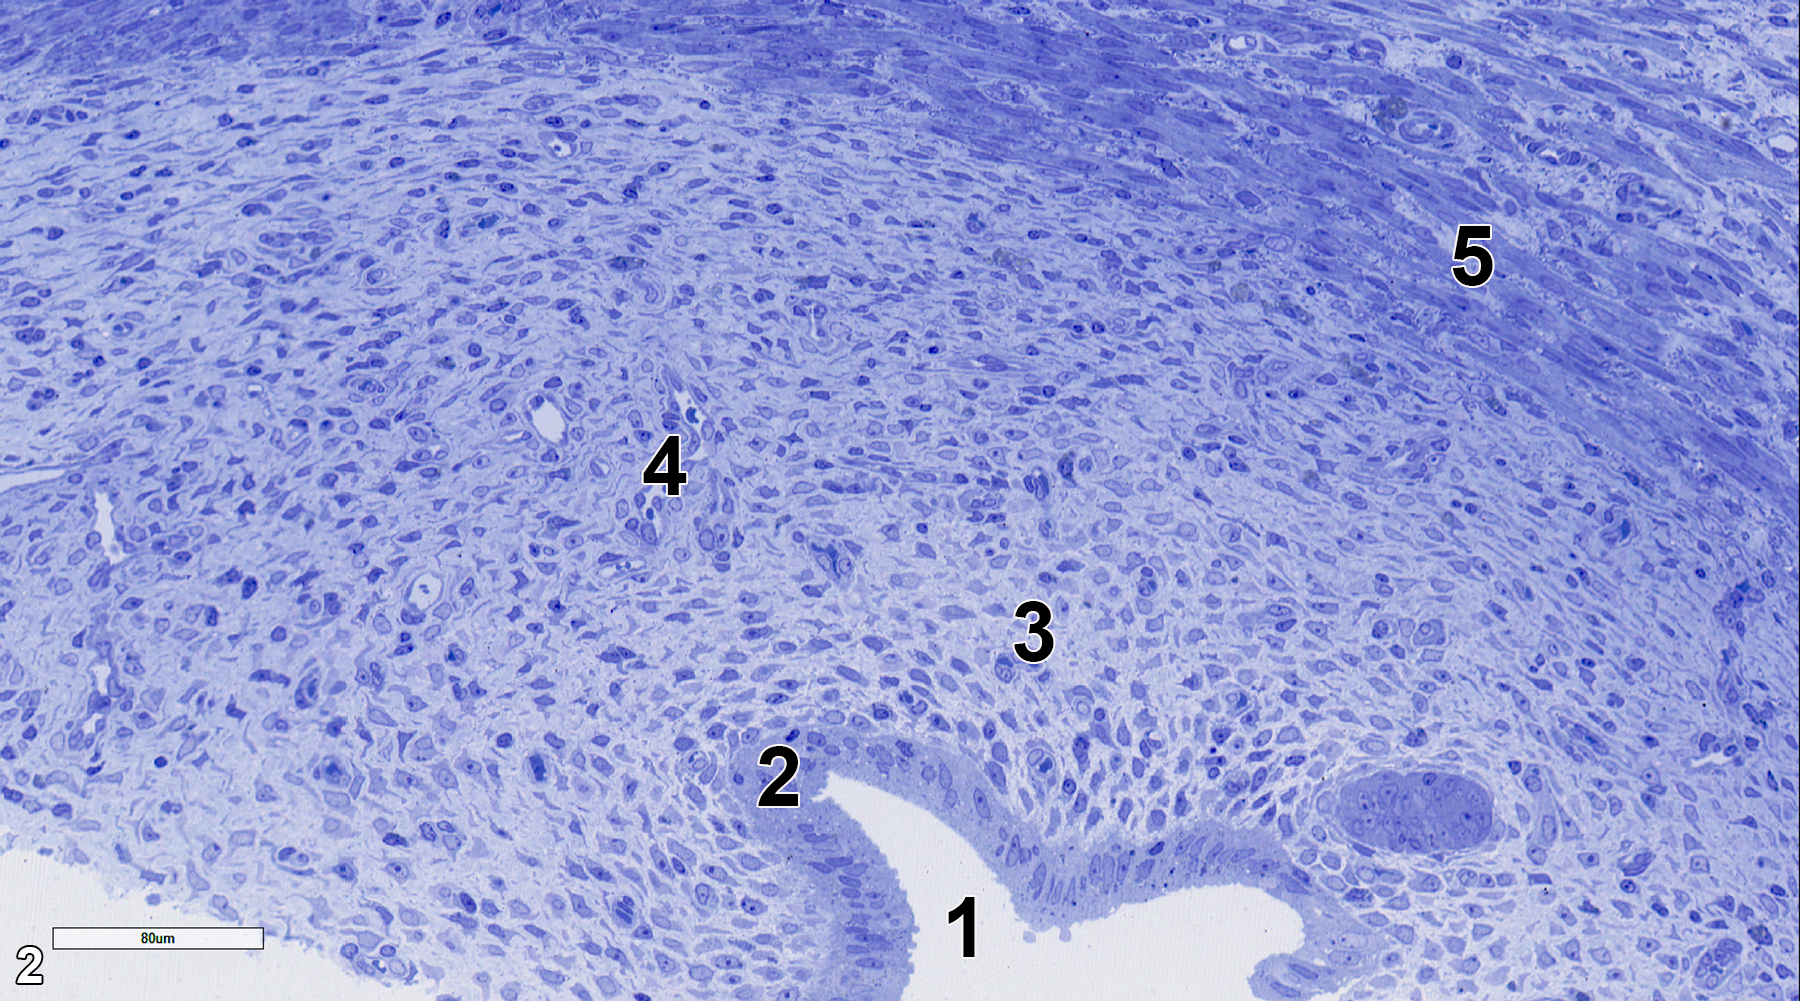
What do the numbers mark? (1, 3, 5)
1. uterine lumen
3. stromal subepithelial layer
5. muscularis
